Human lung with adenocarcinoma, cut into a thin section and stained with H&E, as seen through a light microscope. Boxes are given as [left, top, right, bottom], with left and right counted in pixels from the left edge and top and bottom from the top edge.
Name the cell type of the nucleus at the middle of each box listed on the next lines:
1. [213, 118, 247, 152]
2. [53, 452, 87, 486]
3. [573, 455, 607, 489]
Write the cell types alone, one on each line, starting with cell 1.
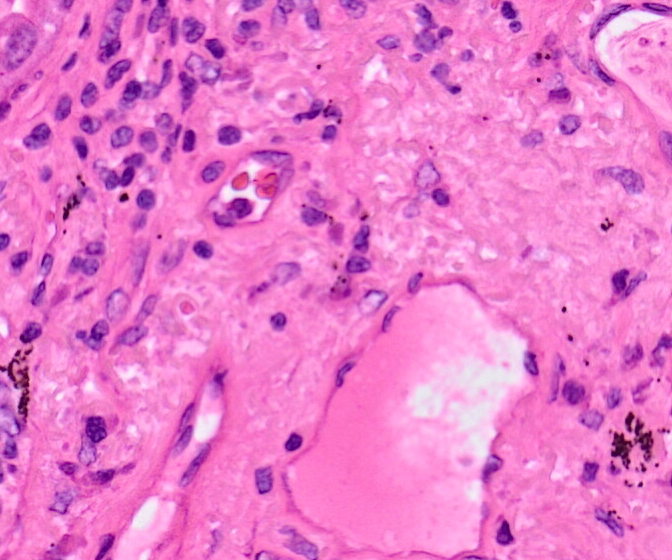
lymphocyte
plasma cell
plasma cell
